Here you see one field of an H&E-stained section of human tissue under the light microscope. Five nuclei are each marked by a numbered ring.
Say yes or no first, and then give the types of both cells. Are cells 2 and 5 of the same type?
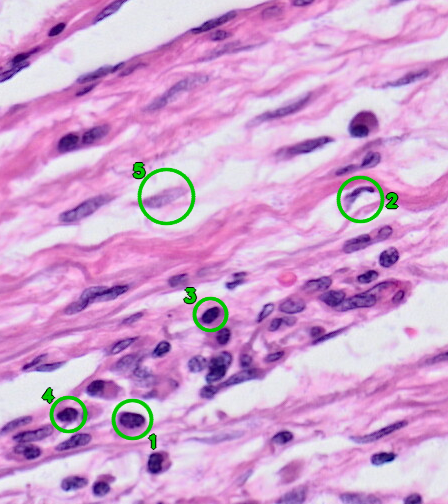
Yes, both are fibroblasts or myofibroblasts.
